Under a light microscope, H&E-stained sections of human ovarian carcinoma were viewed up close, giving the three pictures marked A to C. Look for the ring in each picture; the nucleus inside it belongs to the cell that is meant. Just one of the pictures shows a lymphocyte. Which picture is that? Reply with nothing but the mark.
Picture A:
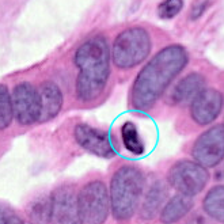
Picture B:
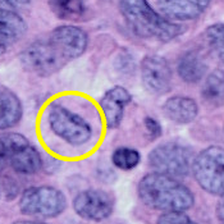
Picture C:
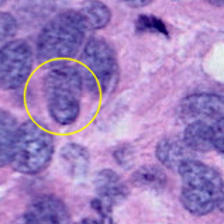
A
